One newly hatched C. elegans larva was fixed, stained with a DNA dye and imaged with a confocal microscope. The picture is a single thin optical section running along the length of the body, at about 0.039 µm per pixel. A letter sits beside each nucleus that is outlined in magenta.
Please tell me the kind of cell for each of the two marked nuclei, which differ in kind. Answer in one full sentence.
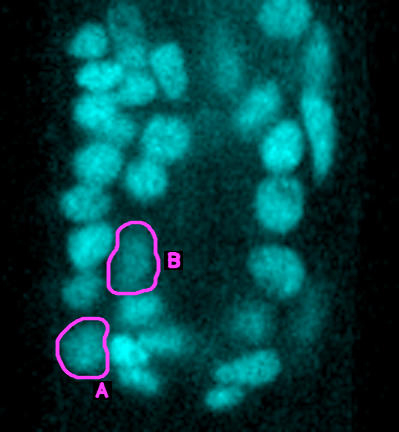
B belongs to a pharyngeal marginal cell, and A to a neuron.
